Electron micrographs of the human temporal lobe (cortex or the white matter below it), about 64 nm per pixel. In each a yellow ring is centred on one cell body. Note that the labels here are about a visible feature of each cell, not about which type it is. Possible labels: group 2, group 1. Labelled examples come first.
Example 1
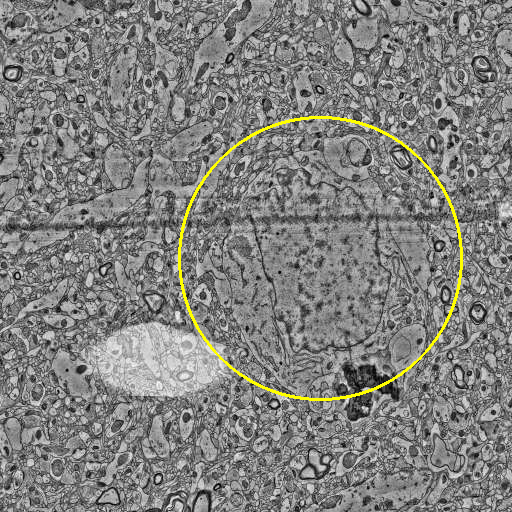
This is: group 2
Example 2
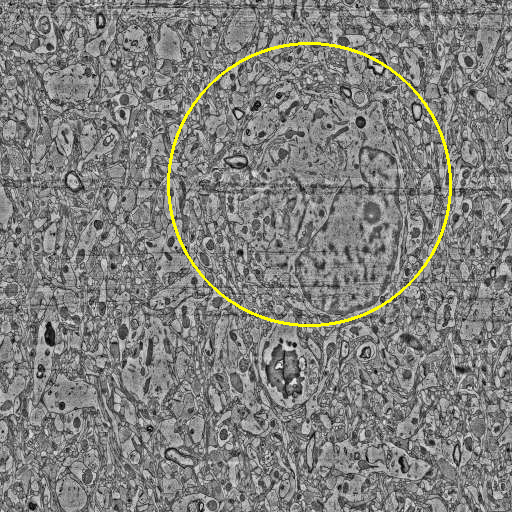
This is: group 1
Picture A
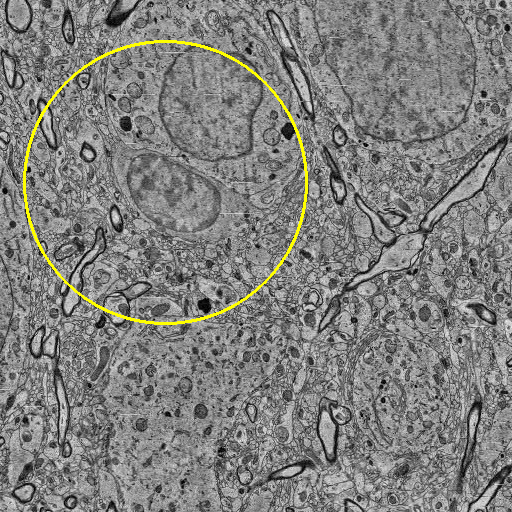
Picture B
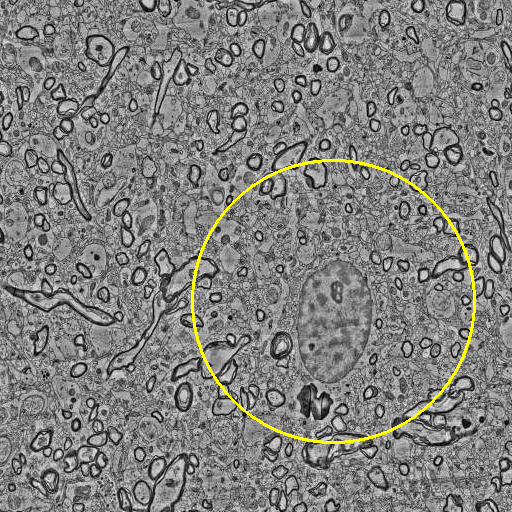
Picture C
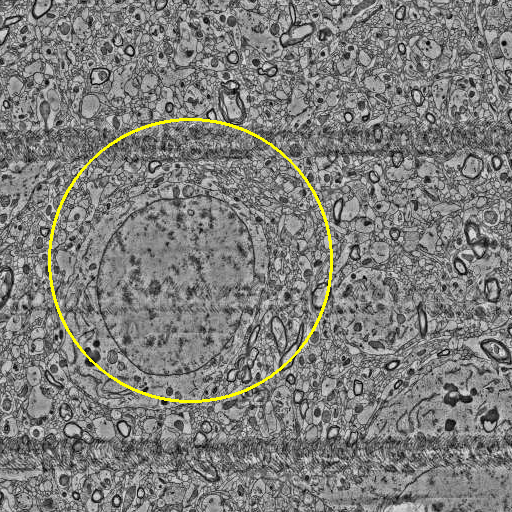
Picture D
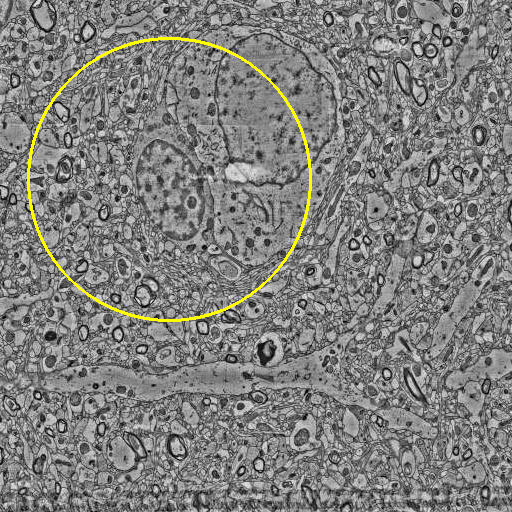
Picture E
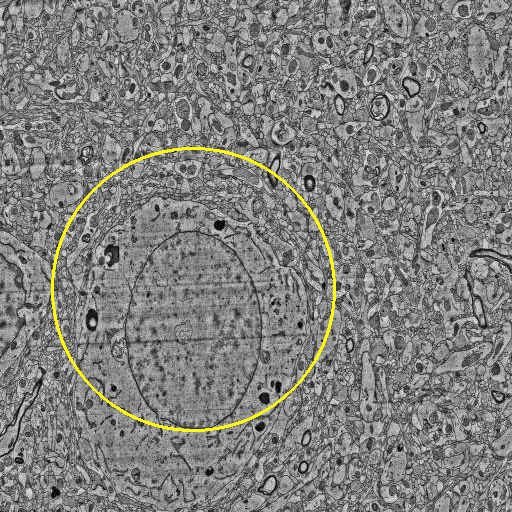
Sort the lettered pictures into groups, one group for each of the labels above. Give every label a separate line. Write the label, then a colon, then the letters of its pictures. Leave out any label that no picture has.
group 2: A, C, E
group 1: B, D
